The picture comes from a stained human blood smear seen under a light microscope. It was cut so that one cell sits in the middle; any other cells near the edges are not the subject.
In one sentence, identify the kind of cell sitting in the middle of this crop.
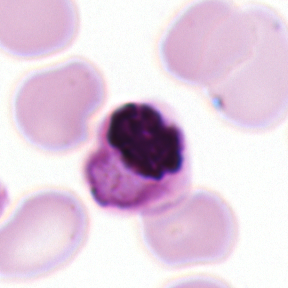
Centred in the crop is a normoblast.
